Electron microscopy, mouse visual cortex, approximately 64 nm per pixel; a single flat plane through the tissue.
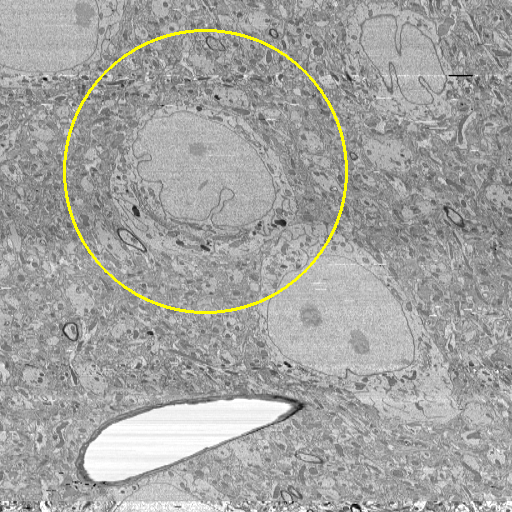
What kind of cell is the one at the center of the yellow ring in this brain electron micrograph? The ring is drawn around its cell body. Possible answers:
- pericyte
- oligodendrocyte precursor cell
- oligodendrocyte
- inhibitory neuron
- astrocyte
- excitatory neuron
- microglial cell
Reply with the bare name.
inhibitory neuron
